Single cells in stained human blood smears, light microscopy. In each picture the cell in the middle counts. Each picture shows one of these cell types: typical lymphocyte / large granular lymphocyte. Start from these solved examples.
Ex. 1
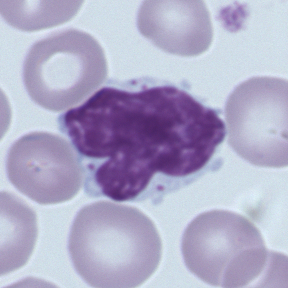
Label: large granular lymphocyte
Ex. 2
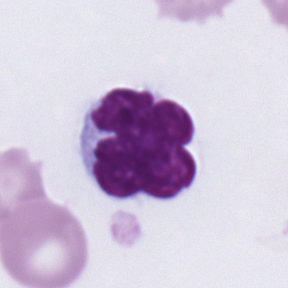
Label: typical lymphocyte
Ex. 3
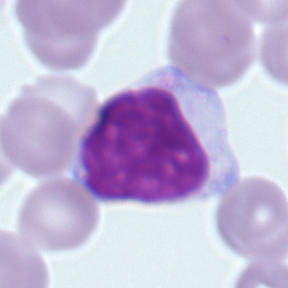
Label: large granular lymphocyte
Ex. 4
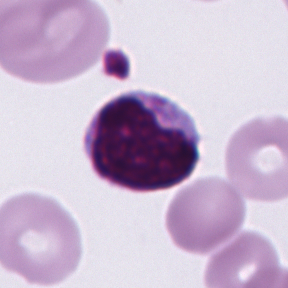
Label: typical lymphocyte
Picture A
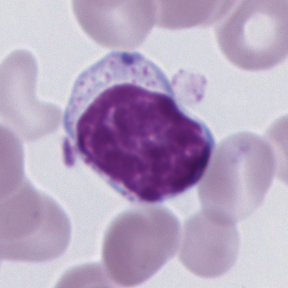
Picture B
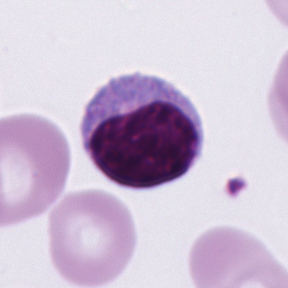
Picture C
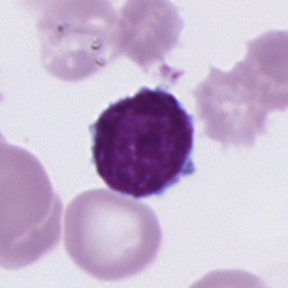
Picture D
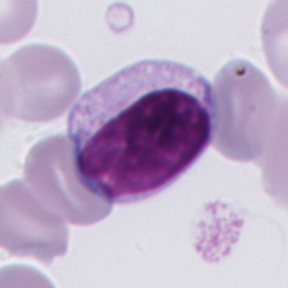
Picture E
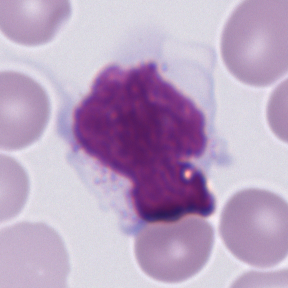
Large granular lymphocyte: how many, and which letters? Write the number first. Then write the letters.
Count: 3 (A, D, E)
